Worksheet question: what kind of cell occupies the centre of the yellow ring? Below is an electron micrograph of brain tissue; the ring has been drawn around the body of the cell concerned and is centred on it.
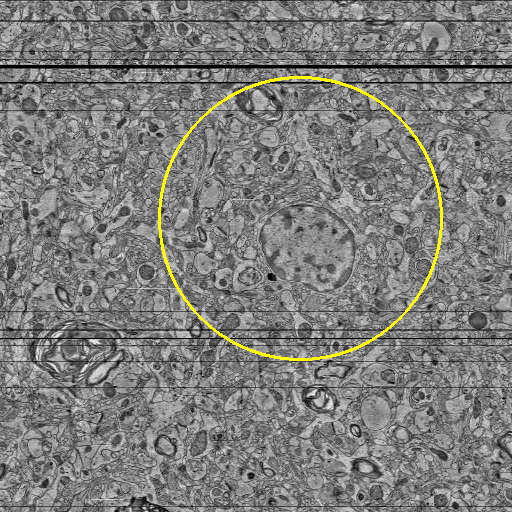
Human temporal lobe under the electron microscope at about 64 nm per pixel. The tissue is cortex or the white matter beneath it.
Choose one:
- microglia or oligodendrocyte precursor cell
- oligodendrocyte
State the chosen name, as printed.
microglia or oligodendrocyte precursor cell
